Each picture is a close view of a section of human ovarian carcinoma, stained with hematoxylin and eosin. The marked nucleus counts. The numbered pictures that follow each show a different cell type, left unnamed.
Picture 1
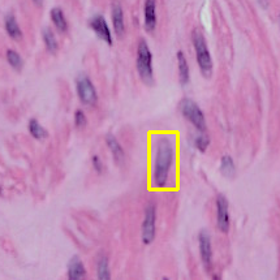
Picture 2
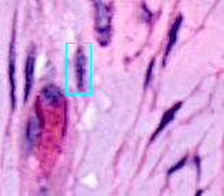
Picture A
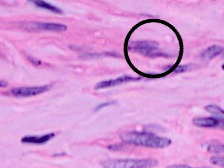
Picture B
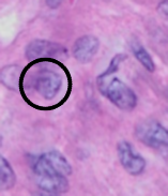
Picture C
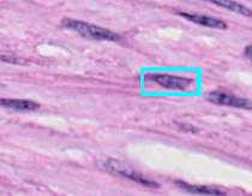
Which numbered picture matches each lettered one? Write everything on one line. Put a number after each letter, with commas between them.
A 1, B 2, C 2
